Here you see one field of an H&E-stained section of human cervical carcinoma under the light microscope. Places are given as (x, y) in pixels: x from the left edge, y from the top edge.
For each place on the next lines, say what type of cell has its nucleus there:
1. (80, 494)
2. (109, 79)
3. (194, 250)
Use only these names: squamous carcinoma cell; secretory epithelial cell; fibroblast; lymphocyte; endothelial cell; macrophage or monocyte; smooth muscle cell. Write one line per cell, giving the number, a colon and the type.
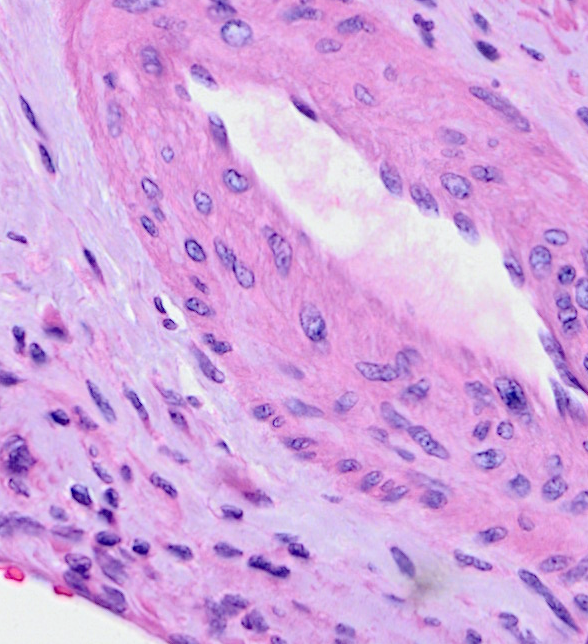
1: lymphocyte
2: smooth muscle cell
3: smooth muscle cell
